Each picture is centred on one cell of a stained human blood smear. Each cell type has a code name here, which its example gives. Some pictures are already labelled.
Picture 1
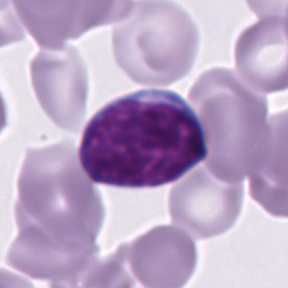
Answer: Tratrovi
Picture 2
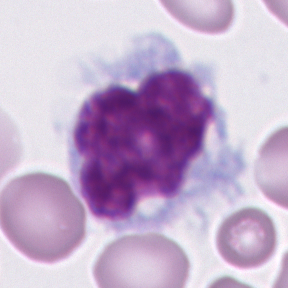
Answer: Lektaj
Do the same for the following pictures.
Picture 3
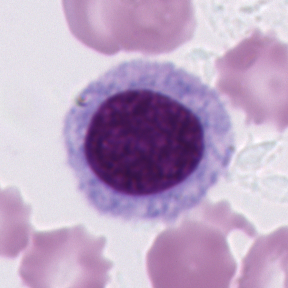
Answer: Lektaj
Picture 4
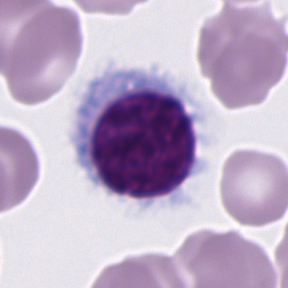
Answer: Lektaj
